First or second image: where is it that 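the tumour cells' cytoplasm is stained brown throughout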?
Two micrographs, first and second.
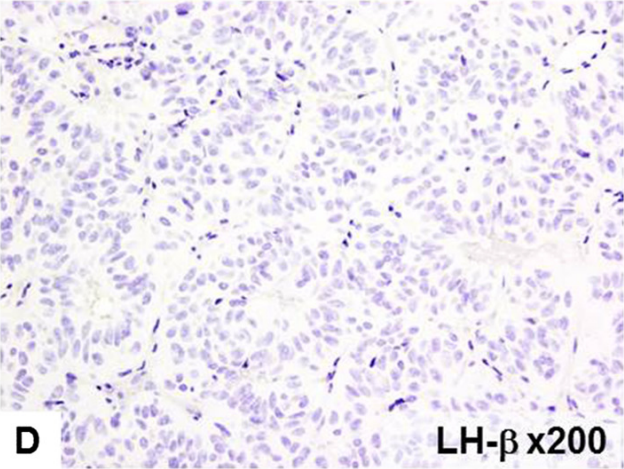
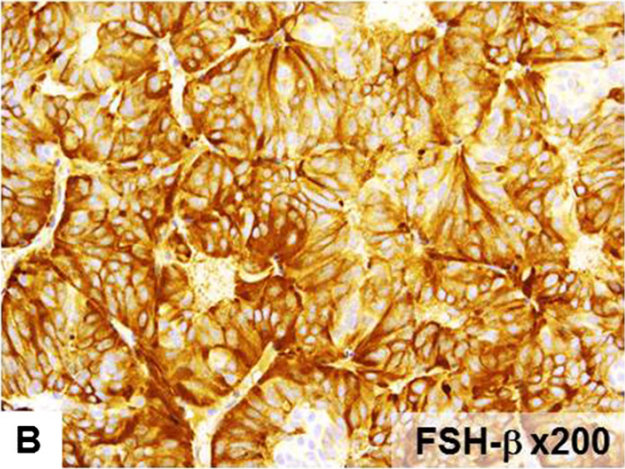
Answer: the second image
